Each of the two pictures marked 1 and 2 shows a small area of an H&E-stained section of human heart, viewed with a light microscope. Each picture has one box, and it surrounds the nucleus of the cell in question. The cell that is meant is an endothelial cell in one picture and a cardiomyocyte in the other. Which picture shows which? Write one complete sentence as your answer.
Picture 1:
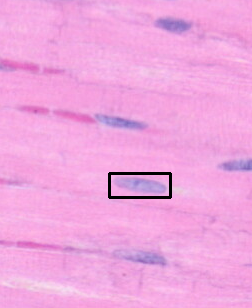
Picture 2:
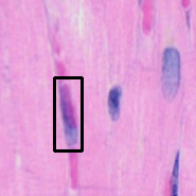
It is picture 1 that shows a cardiomyocyte, and picture 2 that shows an endothelial cell.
